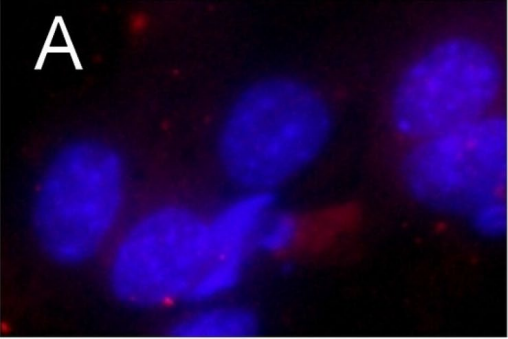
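This shows a few cultured cells whose oval nuclei are lit in blue against a dark background. The nuclei are smooth-edged and finely mottled, and several lie close together or partly overlap. Around them there is very little red, only a faint haze in one spot and a handful of tiny red specks. The cell bodies themselves are barely visible, since nothing outlines them apart from the nuclei.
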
